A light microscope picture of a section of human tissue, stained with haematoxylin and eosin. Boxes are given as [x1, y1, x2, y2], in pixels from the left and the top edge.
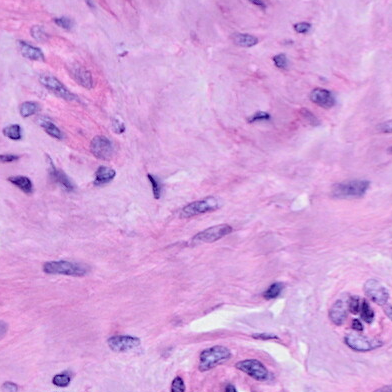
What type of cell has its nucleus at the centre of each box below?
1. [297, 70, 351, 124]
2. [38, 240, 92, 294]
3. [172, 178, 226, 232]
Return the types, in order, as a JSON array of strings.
["smooth muscle cell", "fibroblast", "smooth muscle cell"]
